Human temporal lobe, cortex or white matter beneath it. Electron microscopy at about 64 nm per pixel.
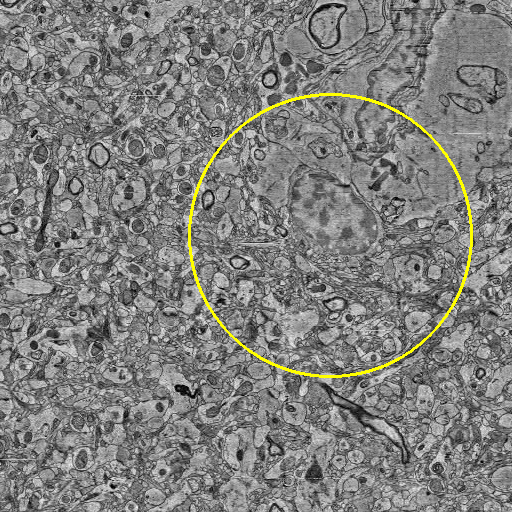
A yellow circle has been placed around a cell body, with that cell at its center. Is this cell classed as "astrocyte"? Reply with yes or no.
No, it belongs to another class.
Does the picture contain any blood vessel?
Yes, one shows.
